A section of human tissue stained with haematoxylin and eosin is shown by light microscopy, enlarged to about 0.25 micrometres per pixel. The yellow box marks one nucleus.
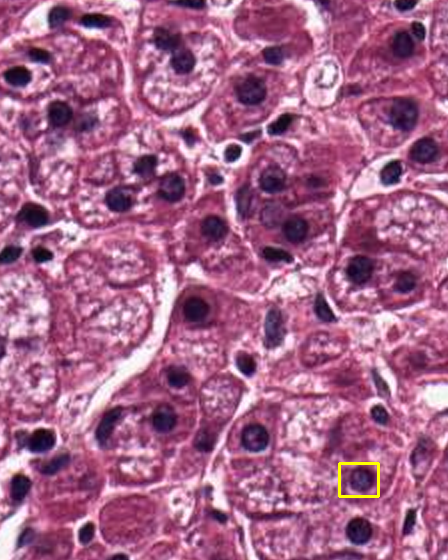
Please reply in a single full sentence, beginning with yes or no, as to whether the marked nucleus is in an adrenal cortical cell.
Yes, in the picture the marked nucleus belongs to an adrenal cortical cell.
